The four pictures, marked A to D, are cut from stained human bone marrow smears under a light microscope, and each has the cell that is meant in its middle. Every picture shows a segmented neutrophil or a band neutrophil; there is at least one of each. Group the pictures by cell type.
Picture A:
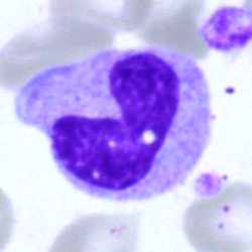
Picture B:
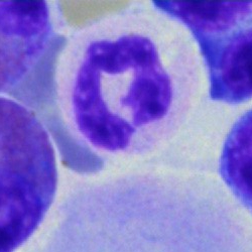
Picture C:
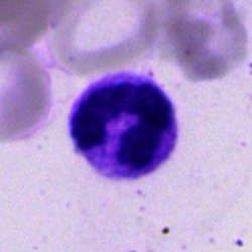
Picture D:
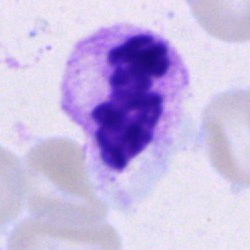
A: band neutrophil
B: segmented neutrophil
C: segmented neutrophil
D: segmented neutrophil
